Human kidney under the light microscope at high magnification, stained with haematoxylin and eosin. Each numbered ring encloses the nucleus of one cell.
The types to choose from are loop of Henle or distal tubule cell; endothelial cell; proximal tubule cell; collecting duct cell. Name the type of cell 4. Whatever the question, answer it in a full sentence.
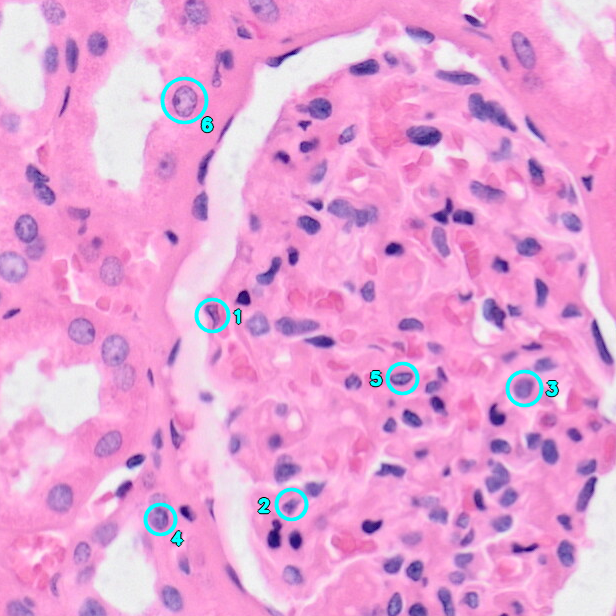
The correct answer for cell 4 is a collecting duct cell.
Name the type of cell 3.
Nucleus 3 in this section belongs to an endothelial cell.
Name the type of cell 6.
The cell referenced by the number 6 is a proximal tubule cell in this field.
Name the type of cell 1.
Among the marked cells, number 1 is an endothelial cell.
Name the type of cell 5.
In this section, the cell numbered 5 is an endothelial cell.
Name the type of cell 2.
The cell whose nucleus carries the number 2 is an endothelial cell.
